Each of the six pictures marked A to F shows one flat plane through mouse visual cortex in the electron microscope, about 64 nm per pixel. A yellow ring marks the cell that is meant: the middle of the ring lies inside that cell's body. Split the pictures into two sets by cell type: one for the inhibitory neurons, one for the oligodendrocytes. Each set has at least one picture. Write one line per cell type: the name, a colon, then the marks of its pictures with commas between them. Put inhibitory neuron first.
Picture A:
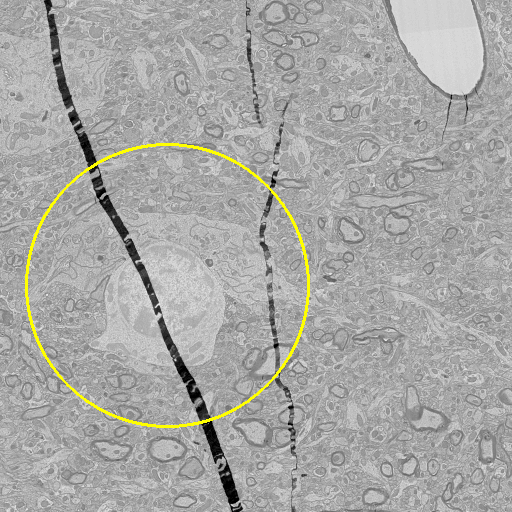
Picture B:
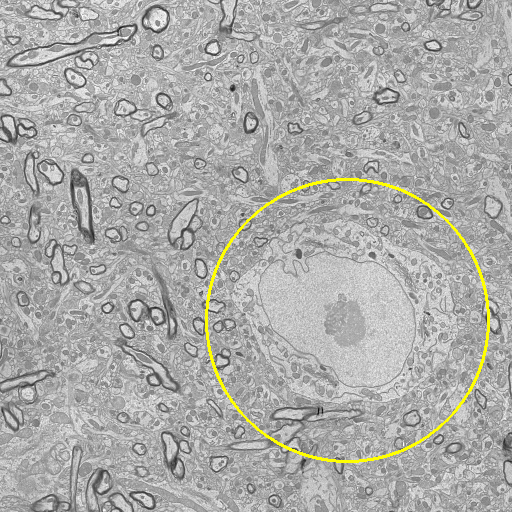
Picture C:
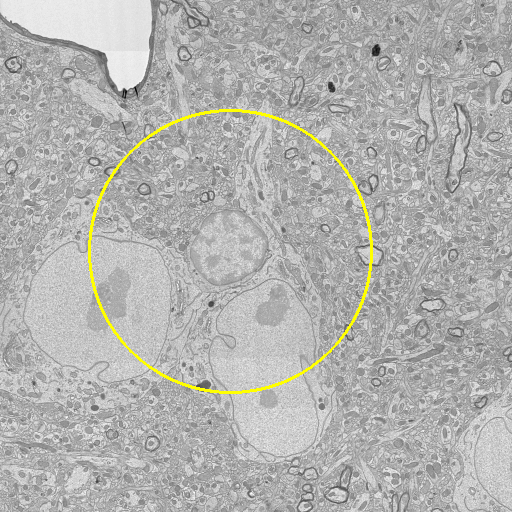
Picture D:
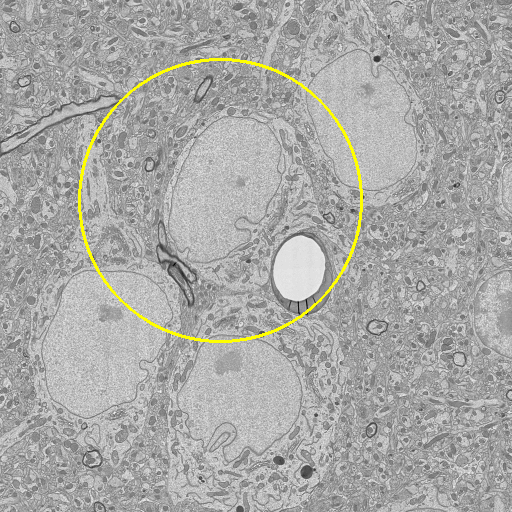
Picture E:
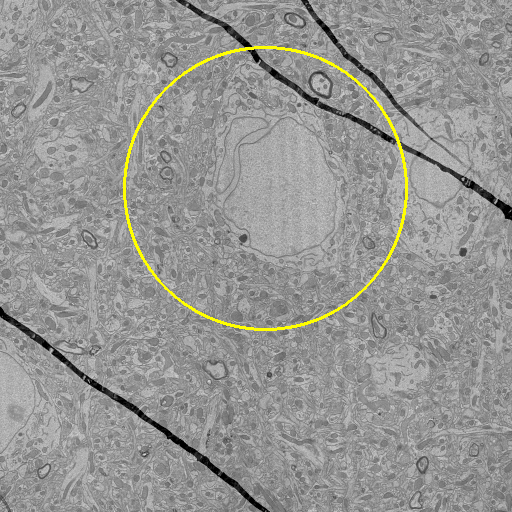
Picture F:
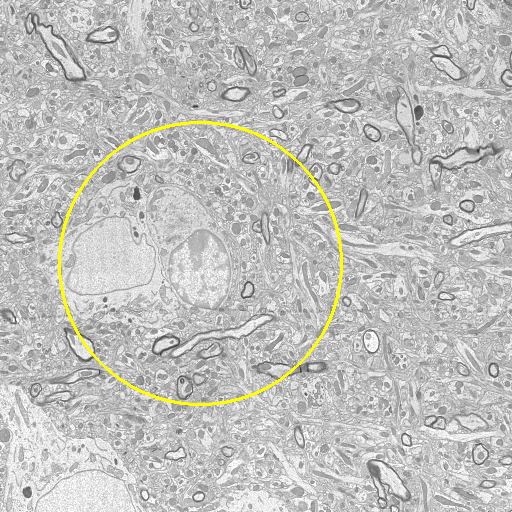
inhibitory neuron: B, D, E
oligodendrocyte: A, C, F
